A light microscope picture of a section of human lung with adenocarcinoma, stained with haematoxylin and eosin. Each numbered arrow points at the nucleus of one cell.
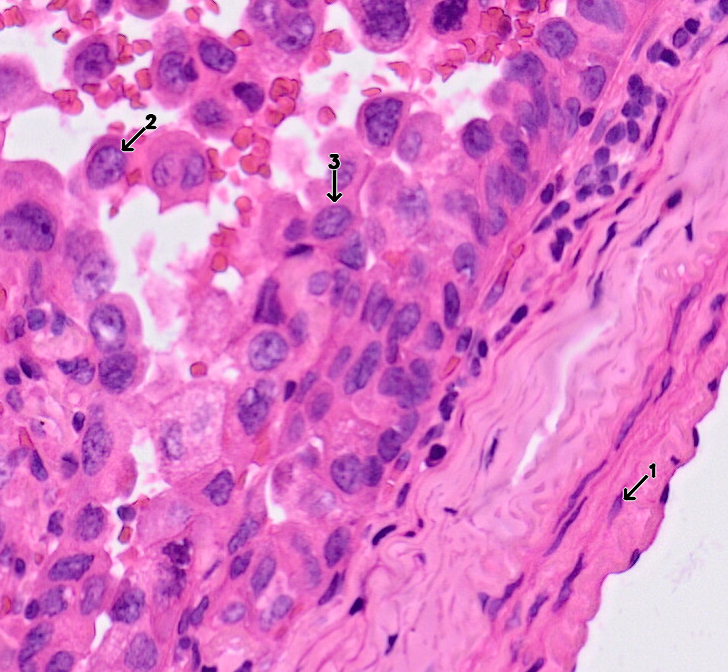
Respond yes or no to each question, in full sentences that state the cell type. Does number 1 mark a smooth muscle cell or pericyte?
Yes, the cell whose nucleus carries number 1 is a smooth muscle cell or pericyte.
